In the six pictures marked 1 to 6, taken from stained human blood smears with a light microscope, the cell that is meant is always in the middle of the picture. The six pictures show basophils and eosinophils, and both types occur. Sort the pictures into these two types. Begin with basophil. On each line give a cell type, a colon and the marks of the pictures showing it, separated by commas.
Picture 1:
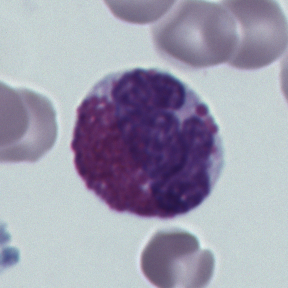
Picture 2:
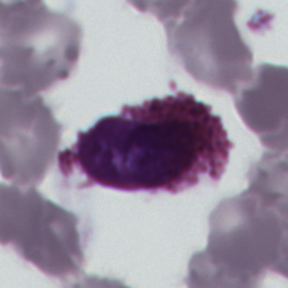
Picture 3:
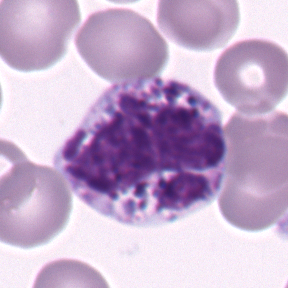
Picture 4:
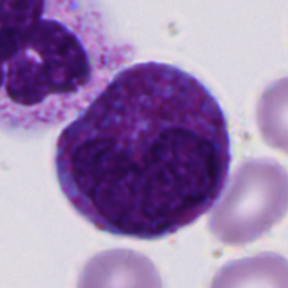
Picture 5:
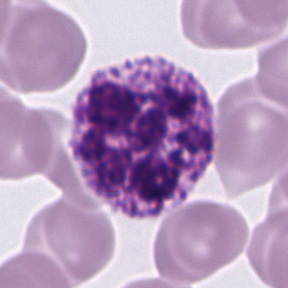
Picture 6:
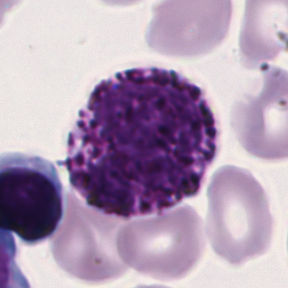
basophil: 3, 5, 6
eosinophil: 1, 2, 4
